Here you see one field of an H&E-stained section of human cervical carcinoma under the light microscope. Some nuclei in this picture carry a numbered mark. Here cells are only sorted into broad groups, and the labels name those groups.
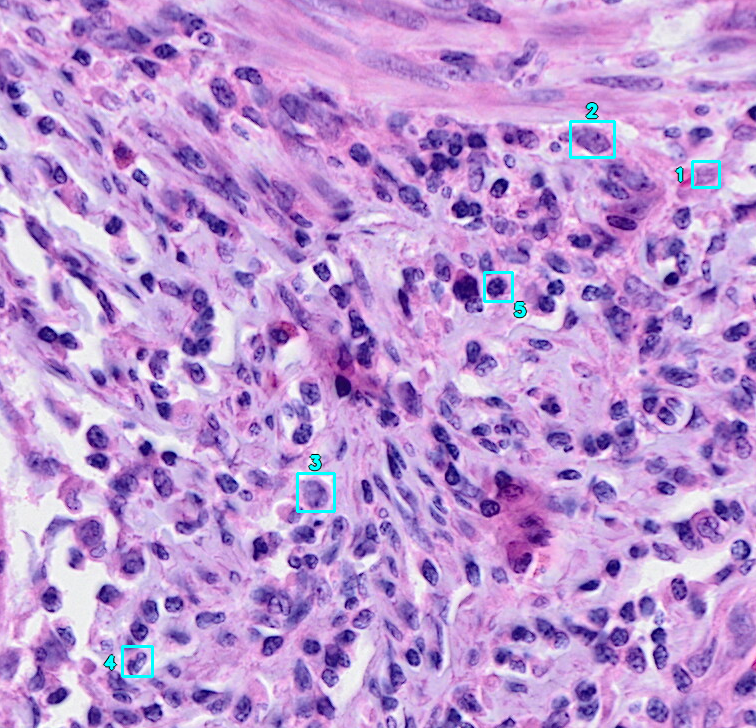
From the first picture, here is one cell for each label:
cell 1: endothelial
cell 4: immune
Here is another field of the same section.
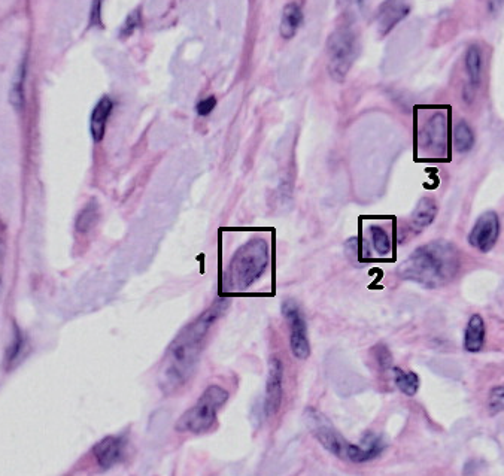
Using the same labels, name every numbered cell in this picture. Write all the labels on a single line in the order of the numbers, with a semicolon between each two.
immune; immune; endothelial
